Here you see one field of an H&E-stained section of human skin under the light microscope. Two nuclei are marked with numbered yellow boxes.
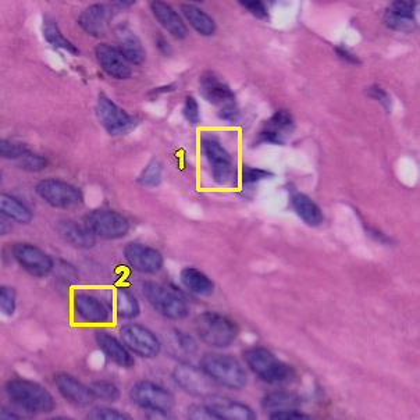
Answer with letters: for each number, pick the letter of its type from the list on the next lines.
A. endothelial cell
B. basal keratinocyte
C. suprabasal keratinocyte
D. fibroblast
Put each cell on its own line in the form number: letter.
1: A
2: B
